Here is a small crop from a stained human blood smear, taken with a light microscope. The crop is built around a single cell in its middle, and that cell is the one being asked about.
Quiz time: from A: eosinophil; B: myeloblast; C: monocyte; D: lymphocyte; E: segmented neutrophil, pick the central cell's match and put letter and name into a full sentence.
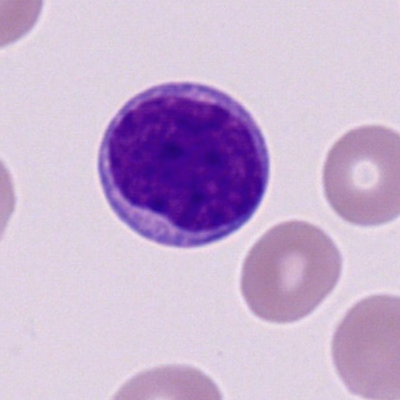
Located in the middle of the crop is a lymphocyte, and option D is therefore correct.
